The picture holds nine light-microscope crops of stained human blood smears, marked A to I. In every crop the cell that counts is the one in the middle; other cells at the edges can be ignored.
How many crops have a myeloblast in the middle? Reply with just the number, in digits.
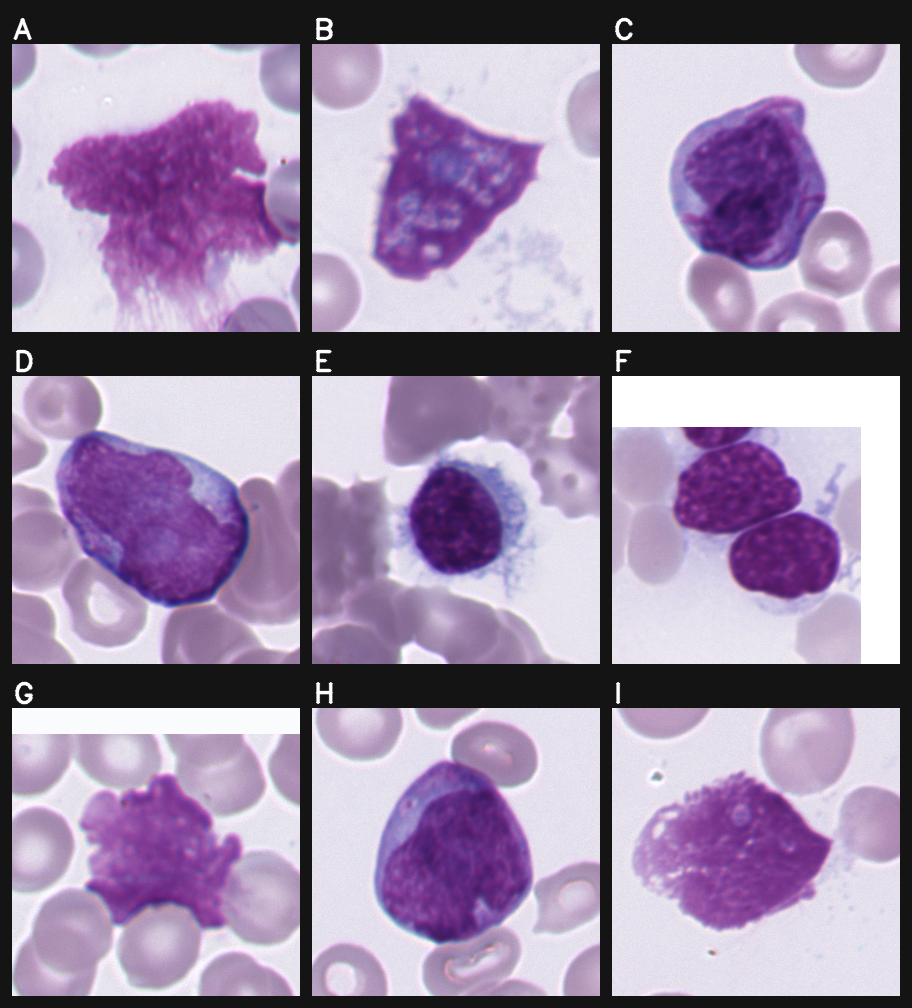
1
